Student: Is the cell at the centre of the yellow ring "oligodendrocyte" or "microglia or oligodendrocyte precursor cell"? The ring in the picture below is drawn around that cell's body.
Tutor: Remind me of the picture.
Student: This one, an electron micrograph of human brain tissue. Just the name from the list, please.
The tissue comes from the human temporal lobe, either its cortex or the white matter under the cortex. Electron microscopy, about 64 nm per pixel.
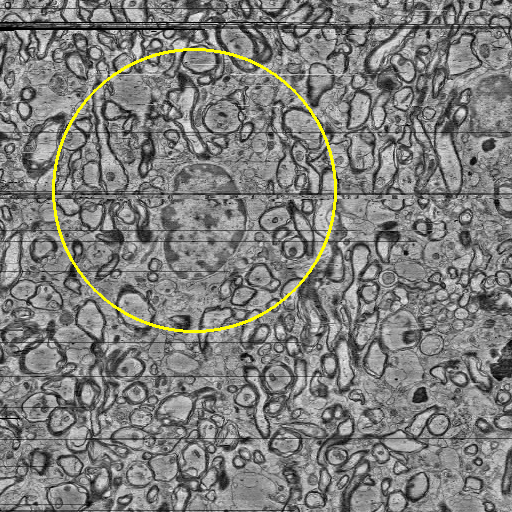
microglia or oligodendrocyte precursor cell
